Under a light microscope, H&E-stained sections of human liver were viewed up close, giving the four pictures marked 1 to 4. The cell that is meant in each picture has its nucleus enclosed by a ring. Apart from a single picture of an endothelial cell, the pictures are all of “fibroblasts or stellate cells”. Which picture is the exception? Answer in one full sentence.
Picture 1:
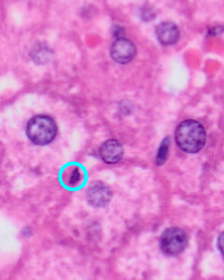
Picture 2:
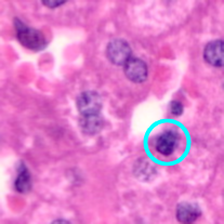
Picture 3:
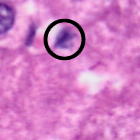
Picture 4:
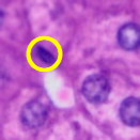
Picture 3 is the one that shows the endothelial cell.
